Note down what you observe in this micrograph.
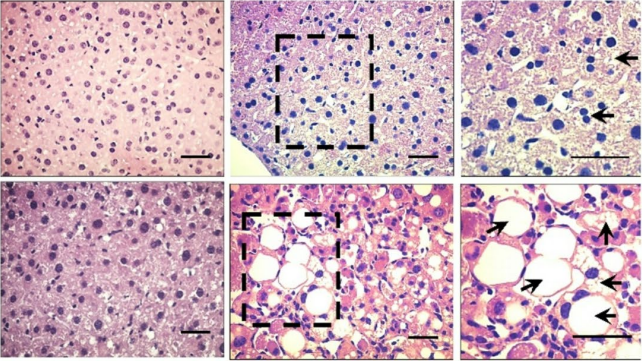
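This is liver tissue made up of hepatocytes, polygonal cells with round, centrally placed, darkly stained nuclei and pink to pale purple cytoplasm, arranged in sheets. In some fields the cytoplasm is finely granular and evenly stained. In others, round clear vacuoles appear within the tissue, ranging from small ones to large spaces bigger than several nuclei; these empty-looking holes are where fat had accumulated before it was dissolved during processing. Where vacuoles are large, surrounding cells and nuclei look pushed aside and the normal sheet arrangement is disturbed.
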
